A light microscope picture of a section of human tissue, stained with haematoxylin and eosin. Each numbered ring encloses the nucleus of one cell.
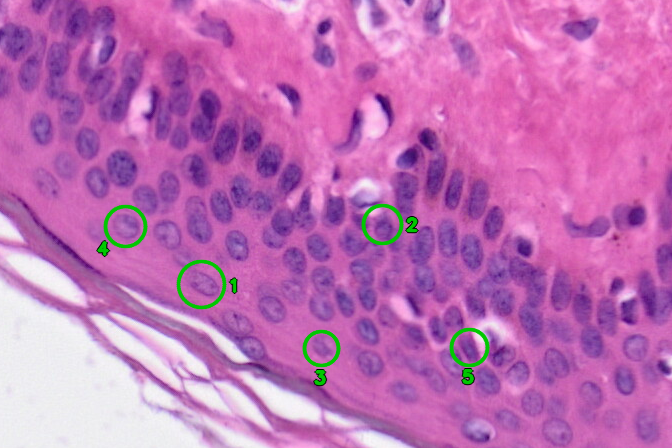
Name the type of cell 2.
basal keratinocyte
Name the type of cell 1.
suprabasal keratinocyte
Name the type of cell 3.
suprabasal keratinocyte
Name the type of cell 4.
suprabasal keratinocyte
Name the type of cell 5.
basal keratinocyte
